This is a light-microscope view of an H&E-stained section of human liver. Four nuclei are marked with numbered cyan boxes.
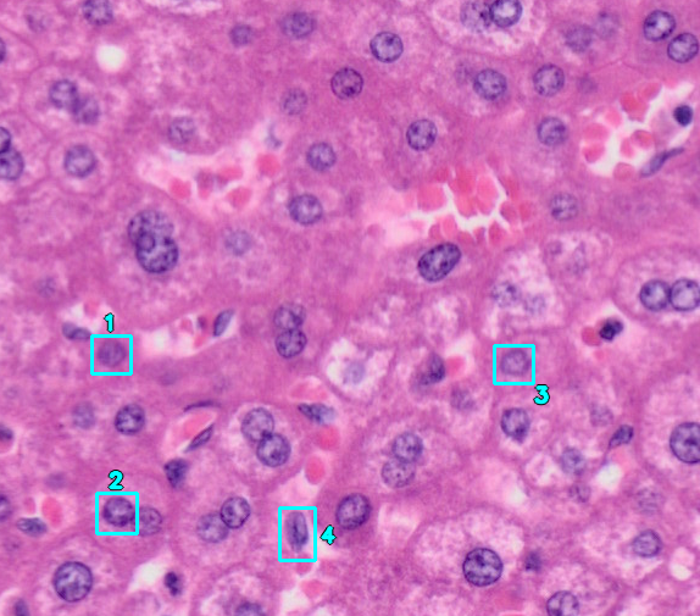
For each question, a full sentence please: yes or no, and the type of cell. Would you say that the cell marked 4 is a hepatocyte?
No, the cell indicated by 4 is an endothelial cell instead of a hepatocyte.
